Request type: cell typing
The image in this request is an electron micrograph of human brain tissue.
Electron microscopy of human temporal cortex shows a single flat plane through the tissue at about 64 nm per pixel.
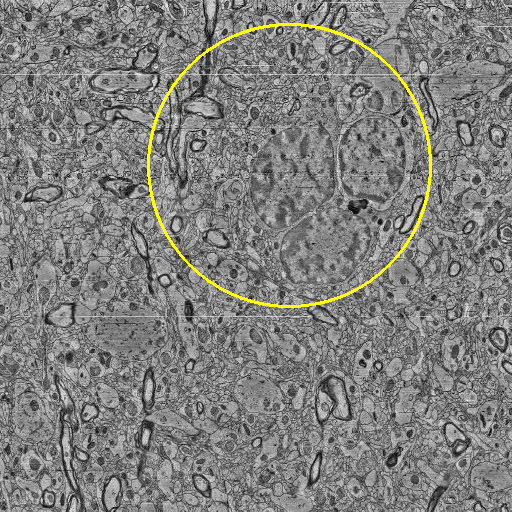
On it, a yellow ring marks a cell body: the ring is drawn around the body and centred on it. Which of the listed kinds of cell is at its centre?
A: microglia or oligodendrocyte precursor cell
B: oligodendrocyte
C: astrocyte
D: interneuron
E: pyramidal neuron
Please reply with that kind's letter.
B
